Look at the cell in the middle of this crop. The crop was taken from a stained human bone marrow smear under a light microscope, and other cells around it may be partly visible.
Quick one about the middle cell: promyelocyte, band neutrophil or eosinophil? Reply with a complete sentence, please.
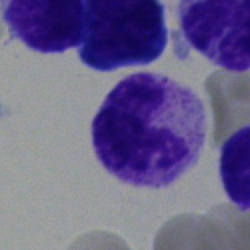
The middle position in this crop is taken by a band neutrophil.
